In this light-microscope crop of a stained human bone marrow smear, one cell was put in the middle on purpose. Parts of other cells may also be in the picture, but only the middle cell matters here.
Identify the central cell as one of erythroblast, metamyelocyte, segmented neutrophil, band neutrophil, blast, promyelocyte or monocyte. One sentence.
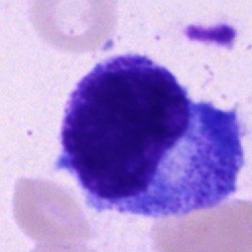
In this smear crop, the middle cell is a promyelocyte.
